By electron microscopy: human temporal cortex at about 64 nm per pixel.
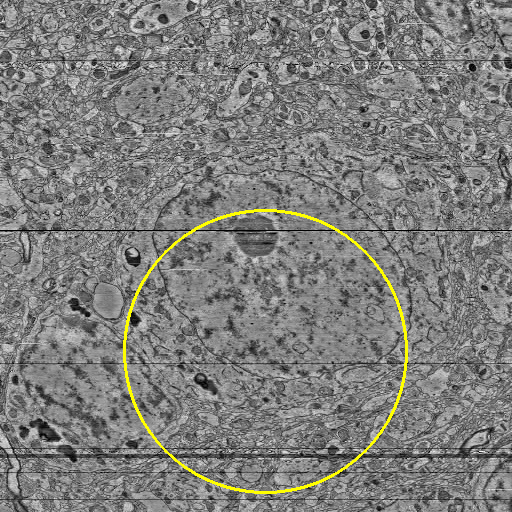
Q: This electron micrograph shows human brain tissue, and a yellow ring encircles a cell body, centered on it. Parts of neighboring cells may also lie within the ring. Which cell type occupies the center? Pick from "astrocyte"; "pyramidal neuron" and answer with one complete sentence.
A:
What sits at the ring's center in this micrograph is a pyramidal neuron, among those choices.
